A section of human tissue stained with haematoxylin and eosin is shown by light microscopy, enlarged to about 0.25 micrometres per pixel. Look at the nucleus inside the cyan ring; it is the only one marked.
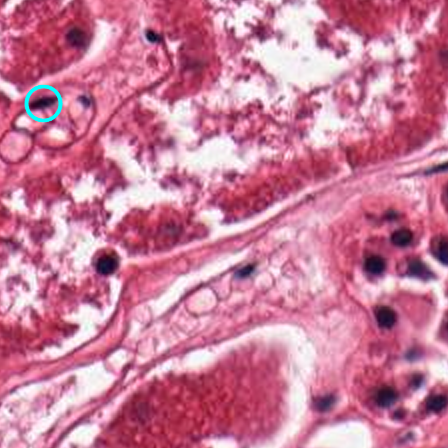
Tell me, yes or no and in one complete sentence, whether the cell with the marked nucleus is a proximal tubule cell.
No, the marked nucleus resides in a supporting cell, not in a proximal tubule cell.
